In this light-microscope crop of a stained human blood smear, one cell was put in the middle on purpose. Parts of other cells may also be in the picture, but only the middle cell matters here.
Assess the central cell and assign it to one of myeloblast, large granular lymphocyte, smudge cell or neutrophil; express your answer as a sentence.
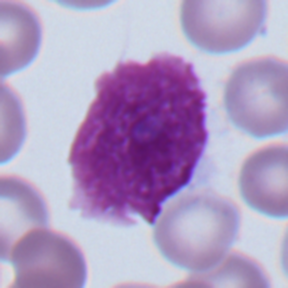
The crop's centre is taken up by a smudge cell.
